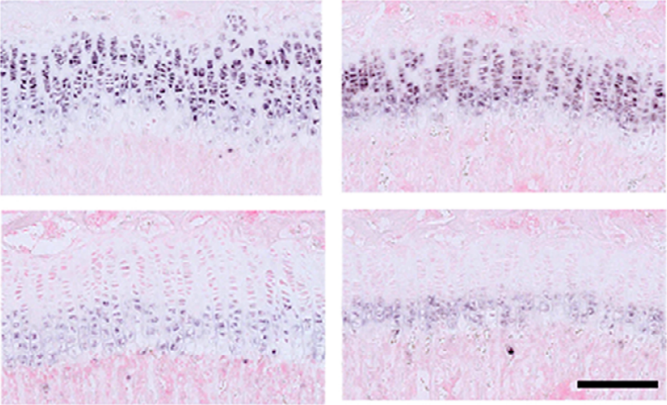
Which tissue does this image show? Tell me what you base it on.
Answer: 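Growth plate cartilage. Chondrocytes are stacked in longitudinal columns. Cells lie in pale cartilage matrix above a pink-stained zone.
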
